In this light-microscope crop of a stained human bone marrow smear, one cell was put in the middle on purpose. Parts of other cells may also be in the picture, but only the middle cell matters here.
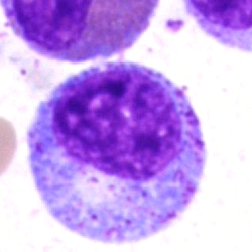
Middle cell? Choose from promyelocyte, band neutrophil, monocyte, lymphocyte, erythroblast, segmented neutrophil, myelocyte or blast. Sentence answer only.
The cell centred in this crop is categorized as a promyelocyte.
